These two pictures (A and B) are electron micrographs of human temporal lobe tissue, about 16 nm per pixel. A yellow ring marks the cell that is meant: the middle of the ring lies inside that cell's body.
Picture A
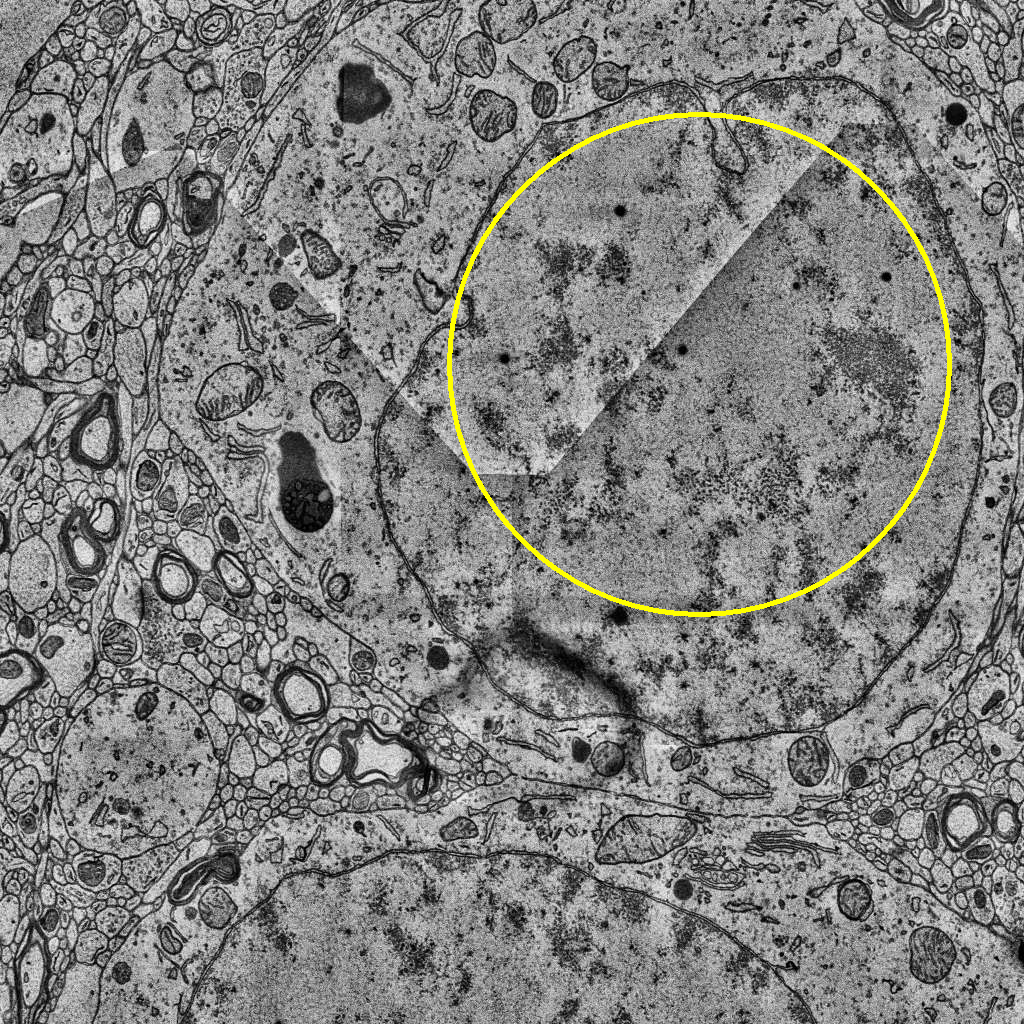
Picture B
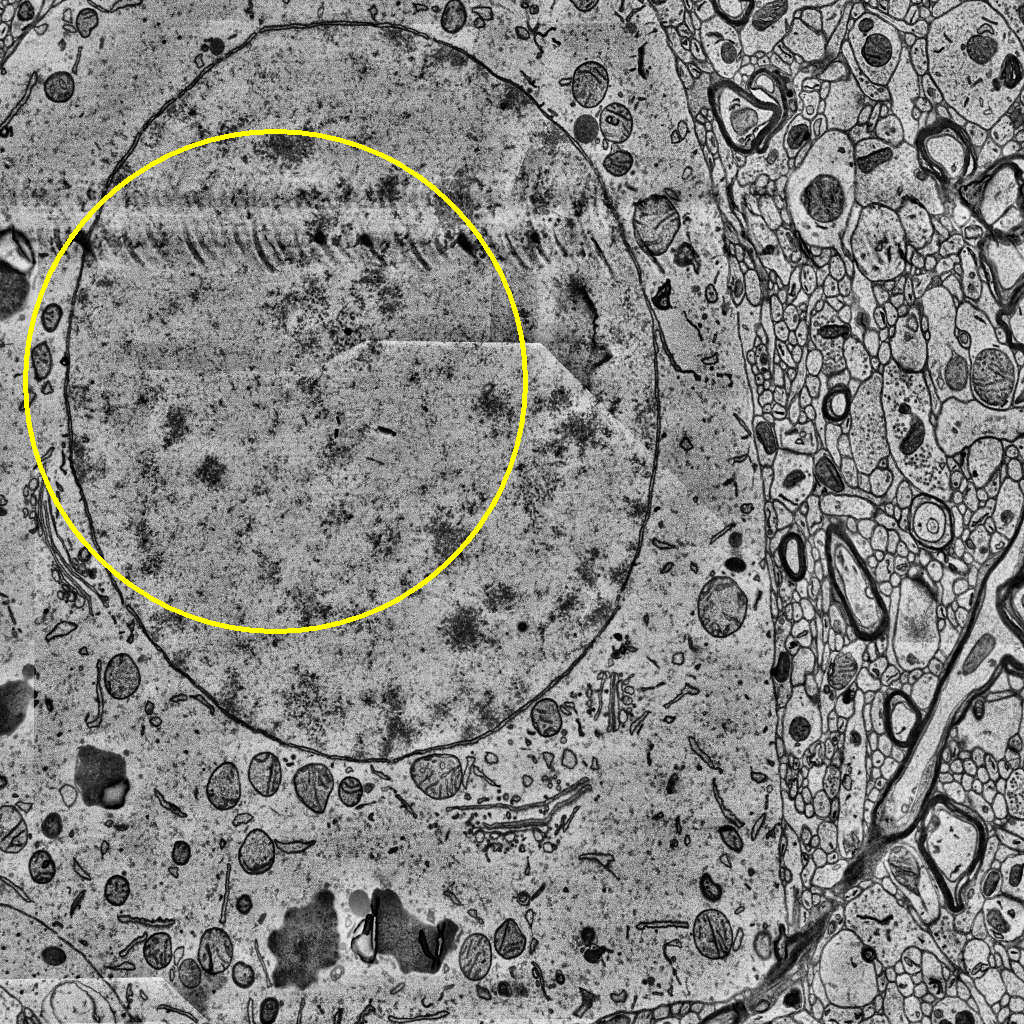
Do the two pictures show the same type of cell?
Yes, they are the same type: both are pyramidal neurons.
